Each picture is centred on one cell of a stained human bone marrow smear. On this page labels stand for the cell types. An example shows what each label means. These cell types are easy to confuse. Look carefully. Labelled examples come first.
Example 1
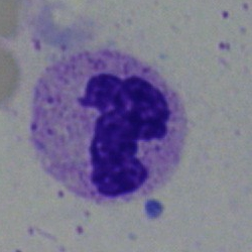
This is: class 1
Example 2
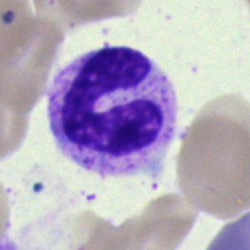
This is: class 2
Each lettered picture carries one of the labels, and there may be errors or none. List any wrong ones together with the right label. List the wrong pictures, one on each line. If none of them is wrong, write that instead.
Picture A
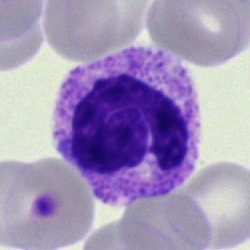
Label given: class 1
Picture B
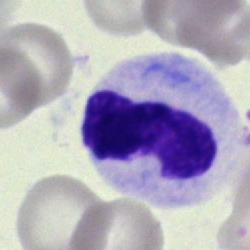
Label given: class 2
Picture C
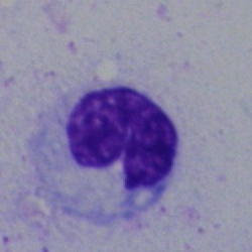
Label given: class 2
No label is wrong.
